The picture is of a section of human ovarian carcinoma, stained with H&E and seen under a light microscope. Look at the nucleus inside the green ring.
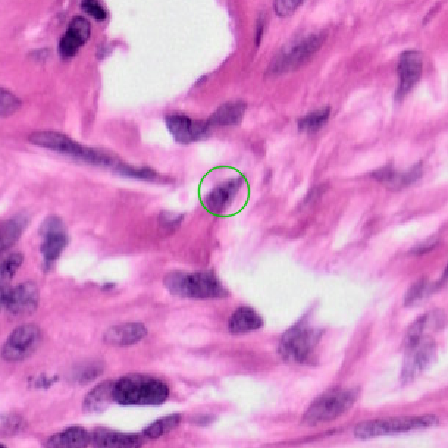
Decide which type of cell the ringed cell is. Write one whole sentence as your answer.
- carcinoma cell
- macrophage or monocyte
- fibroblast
Considered by cell type, the ringed cell is a fibroblast.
